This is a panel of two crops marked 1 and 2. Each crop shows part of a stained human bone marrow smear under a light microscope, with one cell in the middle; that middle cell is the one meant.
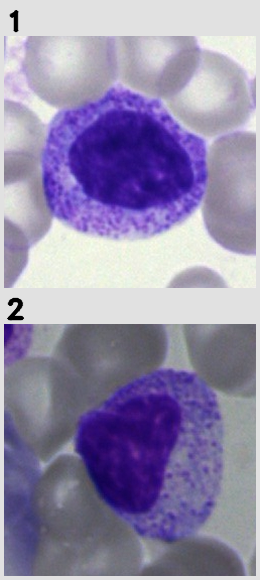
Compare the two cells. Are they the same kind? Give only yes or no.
yes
